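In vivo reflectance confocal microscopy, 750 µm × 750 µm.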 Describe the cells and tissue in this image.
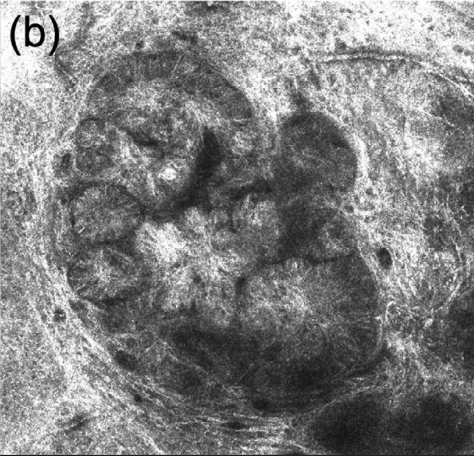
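In this grayscale image, a cluster of rounded, well-demarcated lobules sits in the centre of the field. The lobules are darker than the bright, streaky fibrous tissue that surrounds them. These lobules are tumor islands lying within the dermis.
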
